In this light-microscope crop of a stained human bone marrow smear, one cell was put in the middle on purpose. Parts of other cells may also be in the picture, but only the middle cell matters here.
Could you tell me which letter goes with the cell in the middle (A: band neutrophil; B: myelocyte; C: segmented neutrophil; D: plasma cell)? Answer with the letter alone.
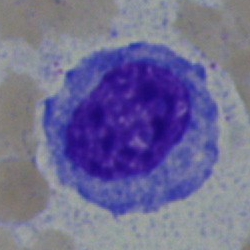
B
